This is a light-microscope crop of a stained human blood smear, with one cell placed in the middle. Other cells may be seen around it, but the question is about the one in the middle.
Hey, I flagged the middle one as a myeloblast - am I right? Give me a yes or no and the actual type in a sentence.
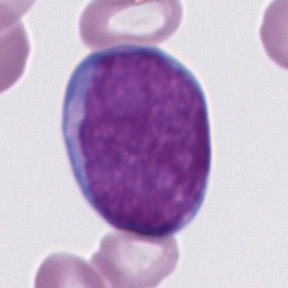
Yes, placed in the middle of the crop is a myeloblast.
